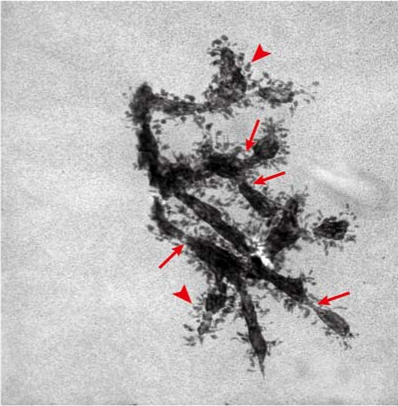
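Branches are irregular in width, with narrowed, constricted stretches where the shaft looks smooth and bare. Dendritic spines along the branches are small, thin and irregular in shape, lacking the rounded heads of bulbous spines; they form ragged fringes at branch edges and tips. The branching pattern looks compact and distorted, with some shafts appearing swollen and dark between constrictions.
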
